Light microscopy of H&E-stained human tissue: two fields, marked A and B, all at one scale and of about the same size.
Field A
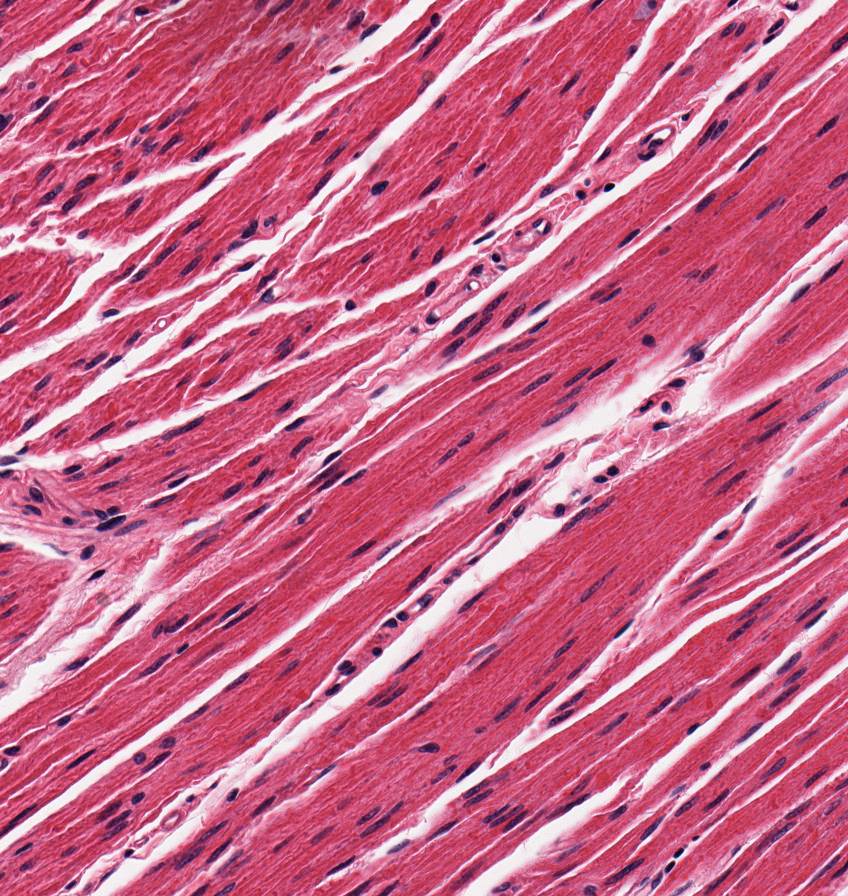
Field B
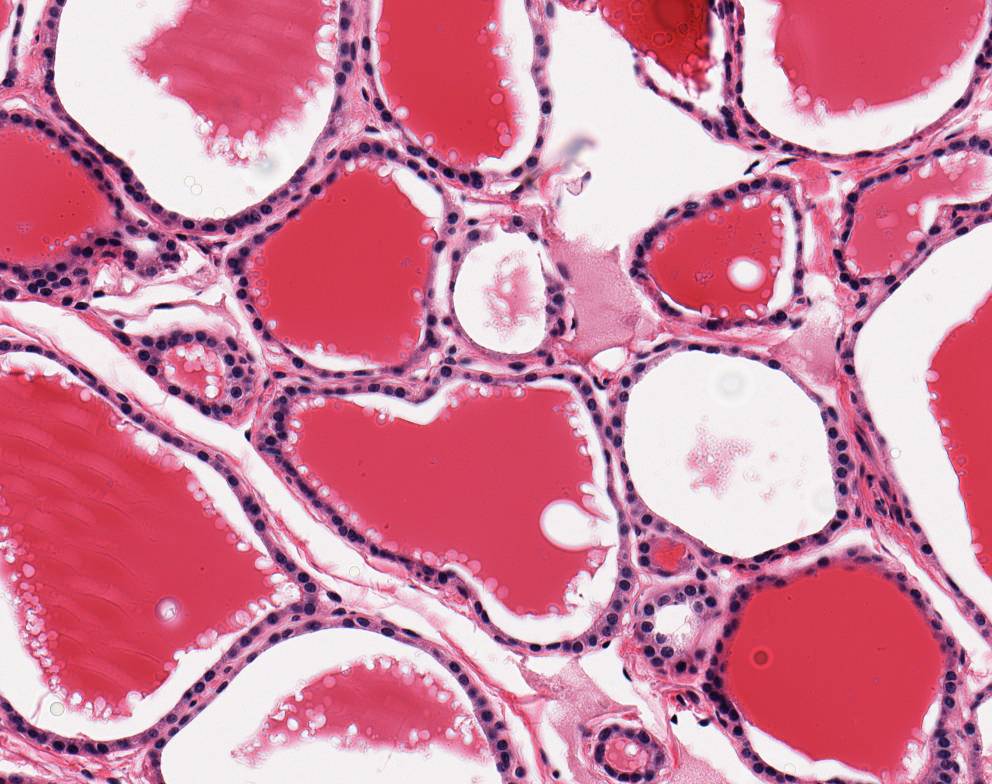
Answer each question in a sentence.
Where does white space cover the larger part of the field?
Unstained space takes up more of field B than of field A.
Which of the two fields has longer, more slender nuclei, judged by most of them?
The nuclei are more elongated in field A.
